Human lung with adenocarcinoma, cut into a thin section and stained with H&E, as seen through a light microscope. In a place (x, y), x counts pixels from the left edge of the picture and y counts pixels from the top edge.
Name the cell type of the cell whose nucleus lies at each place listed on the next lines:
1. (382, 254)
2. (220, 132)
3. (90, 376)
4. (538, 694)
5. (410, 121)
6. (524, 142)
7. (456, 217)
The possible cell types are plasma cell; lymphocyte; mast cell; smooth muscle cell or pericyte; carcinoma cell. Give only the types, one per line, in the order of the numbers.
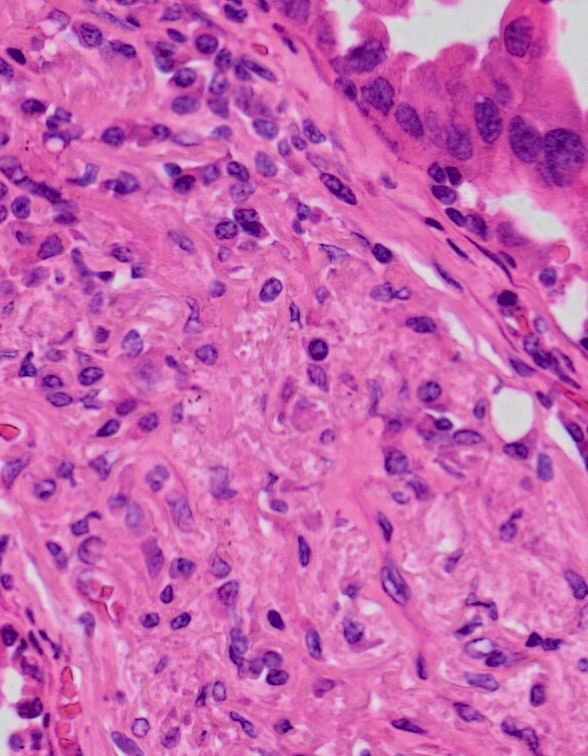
lymphocyte
lymphocyte
plasma cell
plasma cell
carcinoma cell
carcinoma cell
lymphocyte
